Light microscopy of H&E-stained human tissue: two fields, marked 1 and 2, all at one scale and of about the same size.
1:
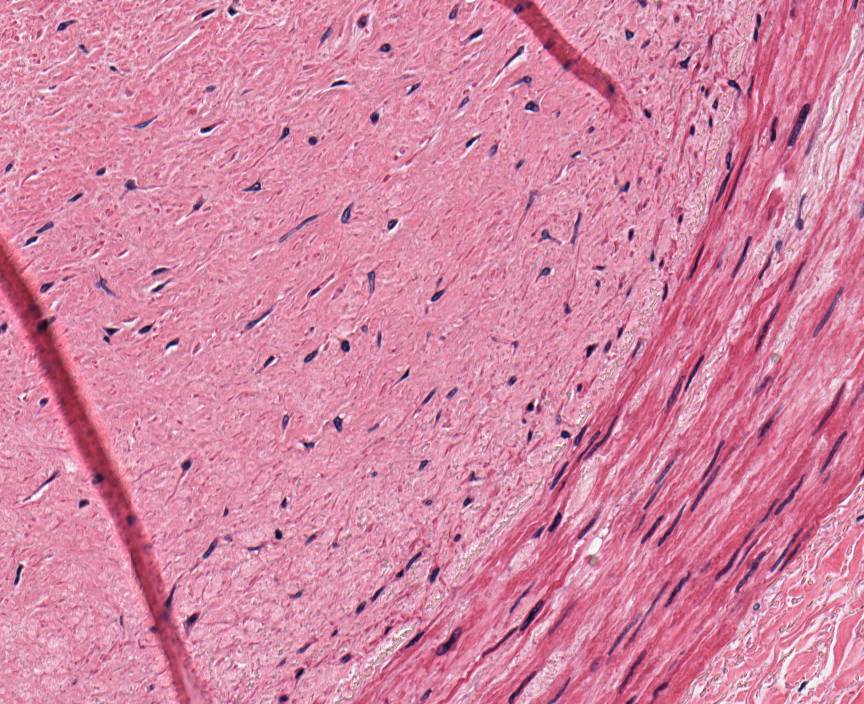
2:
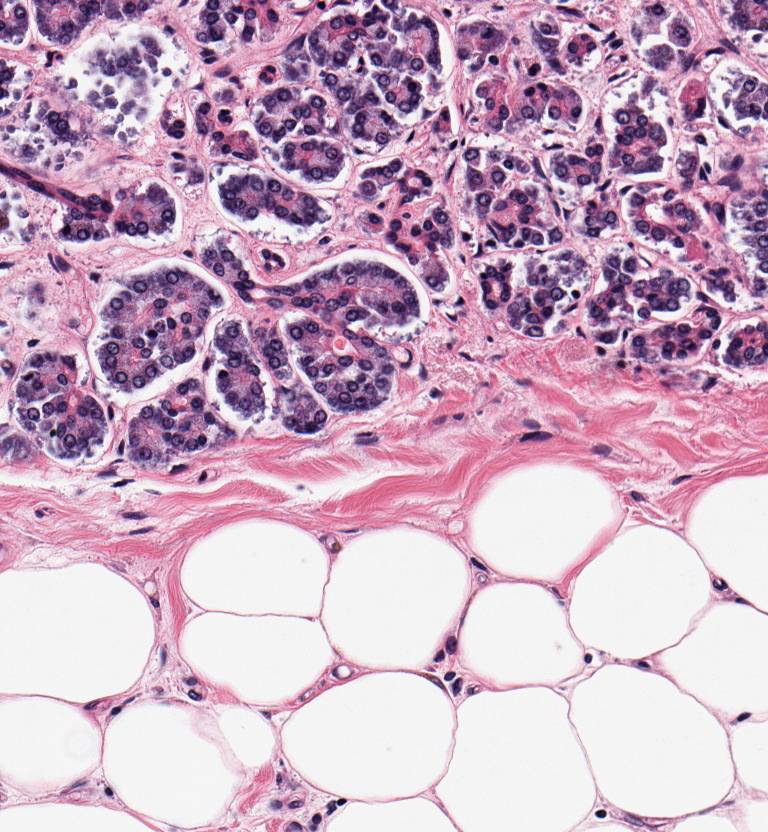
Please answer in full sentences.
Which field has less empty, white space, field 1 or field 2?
It is field 1 that stained tissue fills more completely.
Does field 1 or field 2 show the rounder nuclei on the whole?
The nuclei are rounder in field 2.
